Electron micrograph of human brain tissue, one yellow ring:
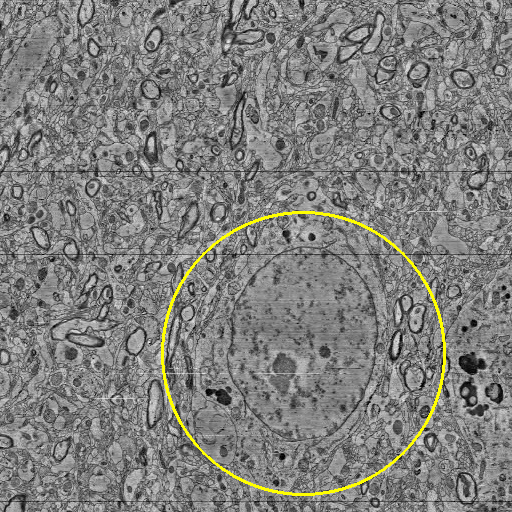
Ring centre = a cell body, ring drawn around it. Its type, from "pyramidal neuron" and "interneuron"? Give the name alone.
pyramidal neuron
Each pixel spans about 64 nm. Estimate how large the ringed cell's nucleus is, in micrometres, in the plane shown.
The nucleus works out at approximately 13 by 10 micrometres in this plane.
